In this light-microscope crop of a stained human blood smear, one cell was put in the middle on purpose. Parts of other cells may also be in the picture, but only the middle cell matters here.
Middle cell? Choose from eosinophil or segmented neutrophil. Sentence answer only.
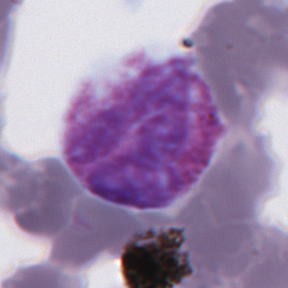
Located at the centre of the crop is an eosinophil.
